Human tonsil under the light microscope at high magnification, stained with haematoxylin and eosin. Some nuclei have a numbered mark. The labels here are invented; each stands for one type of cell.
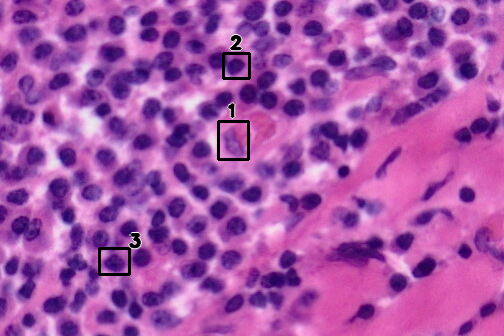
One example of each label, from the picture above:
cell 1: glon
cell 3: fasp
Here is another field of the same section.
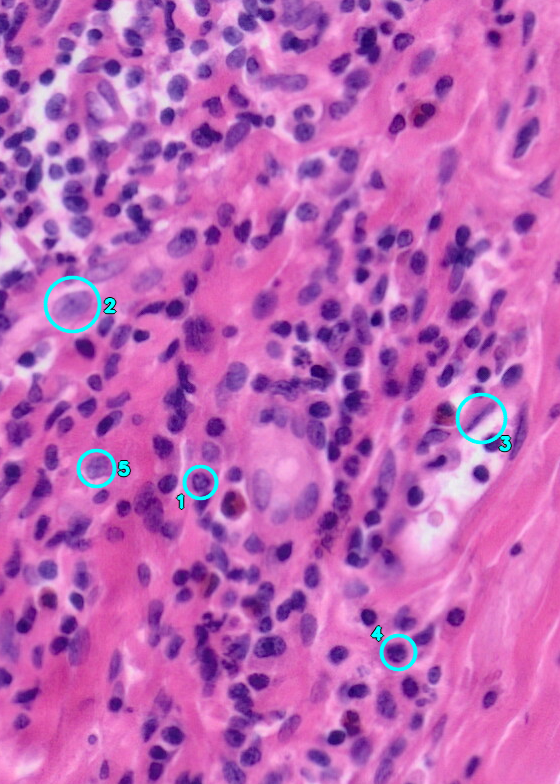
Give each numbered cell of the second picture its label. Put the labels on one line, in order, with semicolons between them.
fasp; glon; glon; fasp; glon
